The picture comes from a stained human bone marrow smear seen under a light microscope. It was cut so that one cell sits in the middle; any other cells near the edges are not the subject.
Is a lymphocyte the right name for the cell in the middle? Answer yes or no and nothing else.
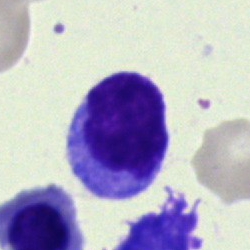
yes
